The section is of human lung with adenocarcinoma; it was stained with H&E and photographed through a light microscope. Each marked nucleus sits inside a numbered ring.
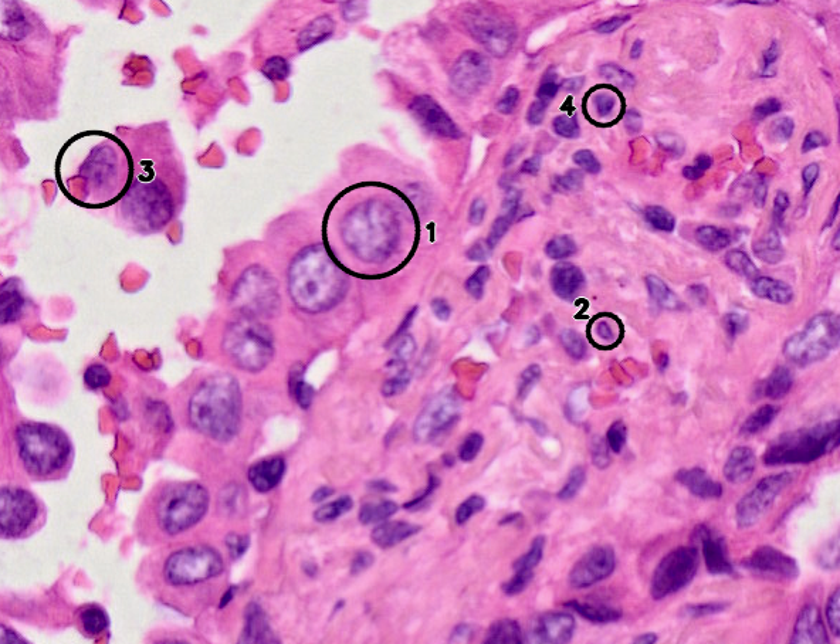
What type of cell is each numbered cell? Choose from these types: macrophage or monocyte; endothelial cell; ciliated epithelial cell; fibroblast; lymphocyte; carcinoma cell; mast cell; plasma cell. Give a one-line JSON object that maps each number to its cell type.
{"1": "carcinoma cell", "2": "lymphocyte", "3": "carcinoma cell", "4": "lymphocyte"}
